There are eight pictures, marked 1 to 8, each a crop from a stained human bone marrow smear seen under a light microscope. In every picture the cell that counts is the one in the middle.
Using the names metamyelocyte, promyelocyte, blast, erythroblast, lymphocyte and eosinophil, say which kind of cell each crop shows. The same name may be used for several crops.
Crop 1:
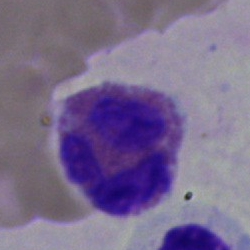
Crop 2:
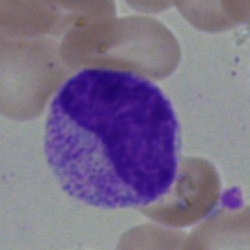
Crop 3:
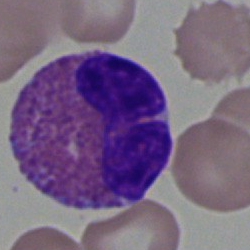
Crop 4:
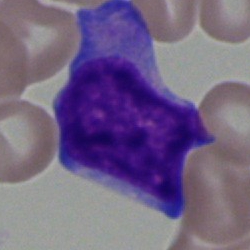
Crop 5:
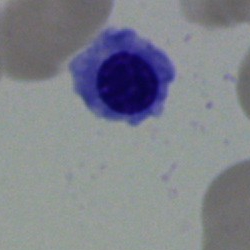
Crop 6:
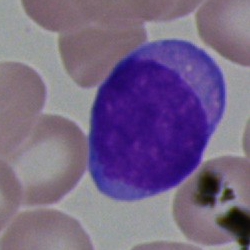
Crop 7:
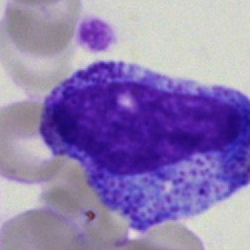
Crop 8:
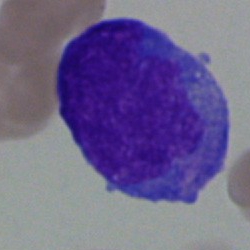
1: eosinophil
2: metamyelocyte
3: eosinophil
4: blast
5: erythroblast
6: blast
7: promyelocyte
8: blast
